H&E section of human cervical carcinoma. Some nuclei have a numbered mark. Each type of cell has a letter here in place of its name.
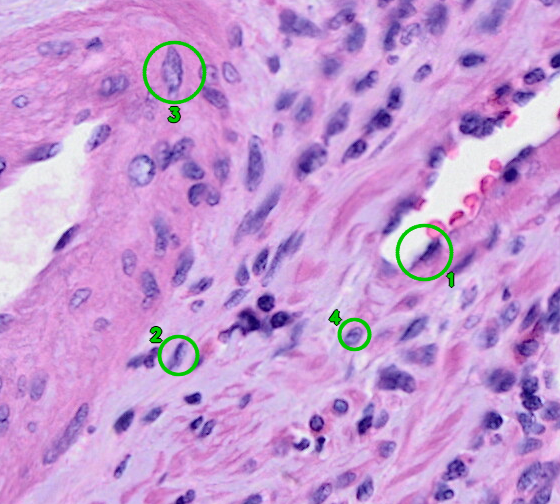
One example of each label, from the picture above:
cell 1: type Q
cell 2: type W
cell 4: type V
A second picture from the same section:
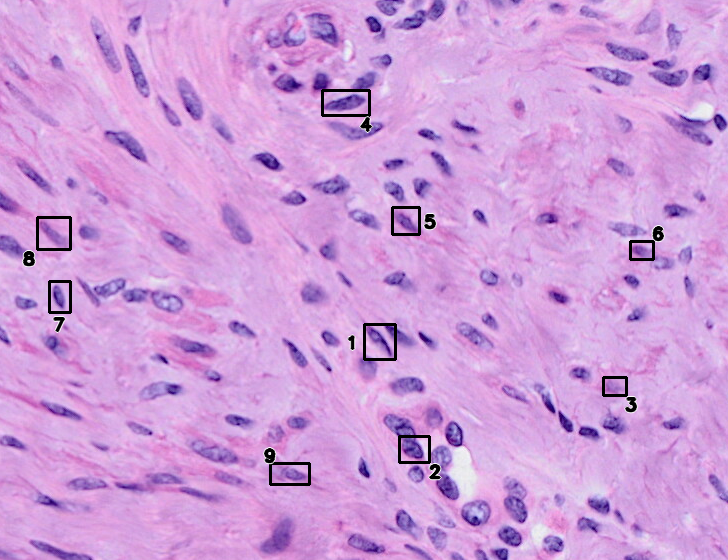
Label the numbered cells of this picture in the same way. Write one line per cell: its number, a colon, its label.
1: type W
2: type Q
3: type V
4: type W
5: type V
6: type V
7: type W
8: type V
9: type V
